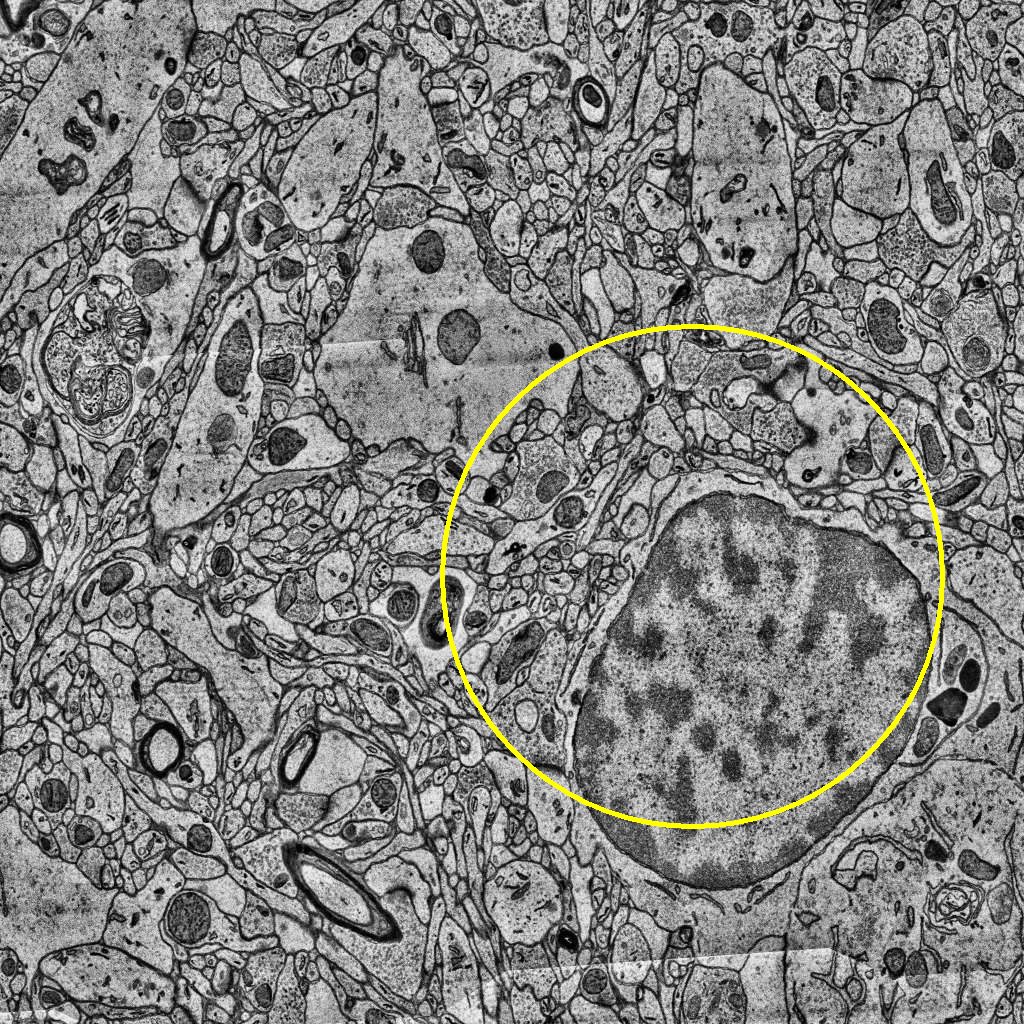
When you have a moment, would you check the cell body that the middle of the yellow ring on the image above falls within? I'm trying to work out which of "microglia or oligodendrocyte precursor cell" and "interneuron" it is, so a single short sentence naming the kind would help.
This cell body belongs to a microglial cell or oligodendrocyte precursor cell.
